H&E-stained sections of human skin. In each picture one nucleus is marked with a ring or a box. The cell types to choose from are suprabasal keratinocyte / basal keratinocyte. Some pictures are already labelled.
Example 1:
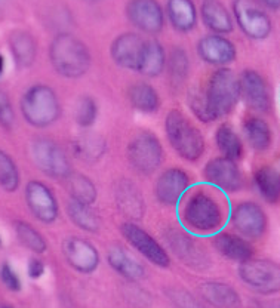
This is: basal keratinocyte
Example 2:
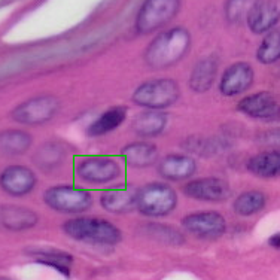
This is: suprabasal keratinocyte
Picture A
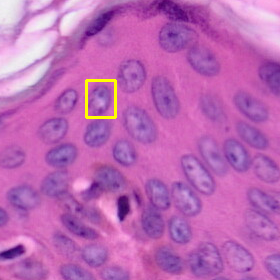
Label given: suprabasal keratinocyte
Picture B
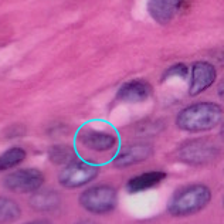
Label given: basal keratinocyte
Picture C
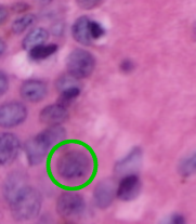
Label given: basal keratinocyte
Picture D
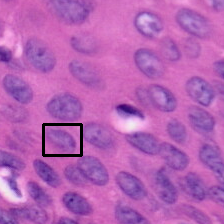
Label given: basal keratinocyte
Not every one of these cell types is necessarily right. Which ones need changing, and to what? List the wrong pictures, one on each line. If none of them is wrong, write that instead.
D: change basal keratinocyte to suprabasal keratinocyte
